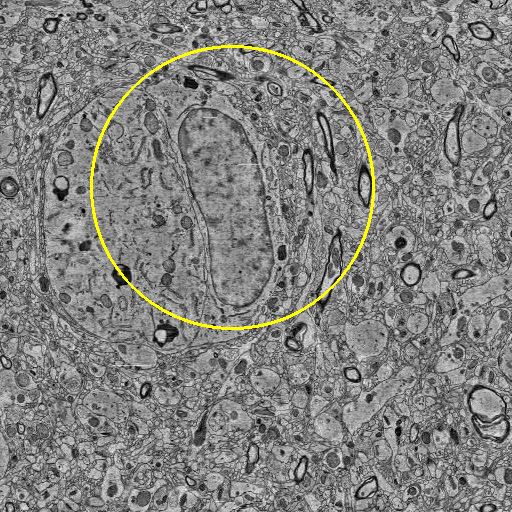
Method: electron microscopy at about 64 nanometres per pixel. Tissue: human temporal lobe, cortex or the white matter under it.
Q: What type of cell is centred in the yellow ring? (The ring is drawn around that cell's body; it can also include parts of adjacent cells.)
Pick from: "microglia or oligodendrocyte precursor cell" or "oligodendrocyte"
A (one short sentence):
The yellow ring is centred on a microglial cell or oligodendrocyte precursor cell.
